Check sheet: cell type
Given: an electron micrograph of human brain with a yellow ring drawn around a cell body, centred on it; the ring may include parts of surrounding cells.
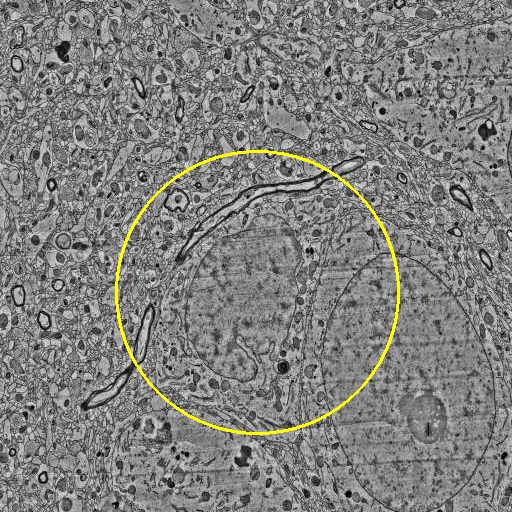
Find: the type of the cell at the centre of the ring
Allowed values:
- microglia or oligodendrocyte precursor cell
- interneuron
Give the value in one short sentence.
Here the ringed cell is an interneuron.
